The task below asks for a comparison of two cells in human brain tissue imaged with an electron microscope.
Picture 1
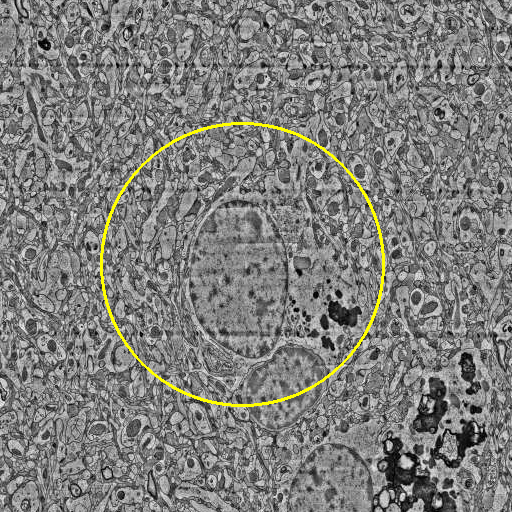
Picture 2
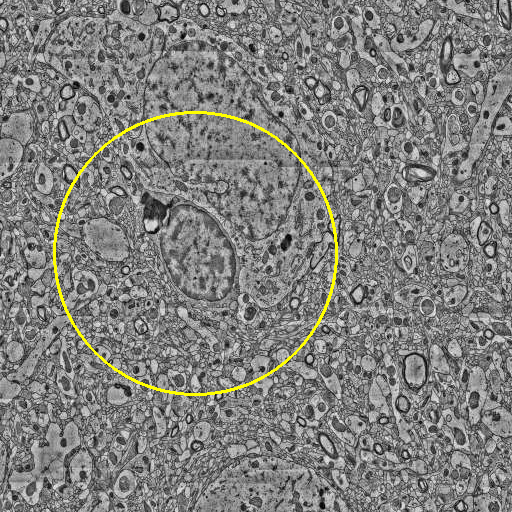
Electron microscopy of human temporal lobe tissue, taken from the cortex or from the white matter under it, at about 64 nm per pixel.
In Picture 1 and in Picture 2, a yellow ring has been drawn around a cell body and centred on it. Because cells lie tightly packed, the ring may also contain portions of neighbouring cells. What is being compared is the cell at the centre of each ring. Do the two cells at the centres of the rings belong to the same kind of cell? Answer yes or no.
no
